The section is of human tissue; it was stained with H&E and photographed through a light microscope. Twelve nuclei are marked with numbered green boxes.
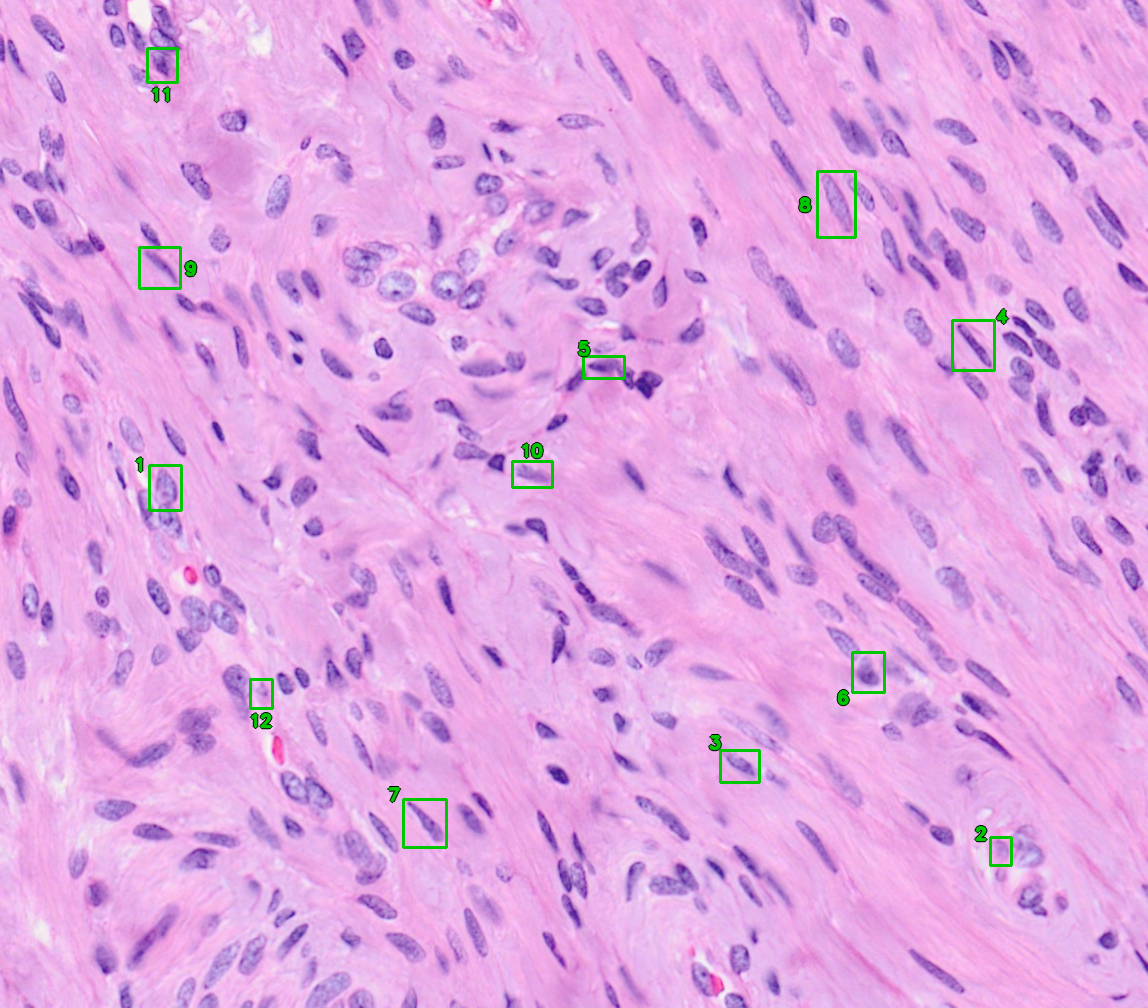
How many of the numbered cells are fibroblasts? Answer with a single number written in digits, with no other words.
7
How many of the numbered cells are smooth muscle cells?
1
